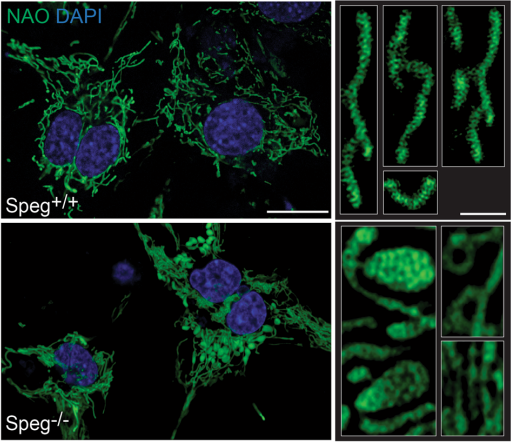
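In the upper image the mitochondria are long, thin threads, and at higher magnification each thread shows closely spaced, regular crosswise bands of inner membrane folds. In the lower image many mitochondria are shorter, rounded or swollen, and at higher magnification the inner folds are fewer and less orderly. Several nuclei lie close together in both images, with the mitochondrial network spreading outward from them.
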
